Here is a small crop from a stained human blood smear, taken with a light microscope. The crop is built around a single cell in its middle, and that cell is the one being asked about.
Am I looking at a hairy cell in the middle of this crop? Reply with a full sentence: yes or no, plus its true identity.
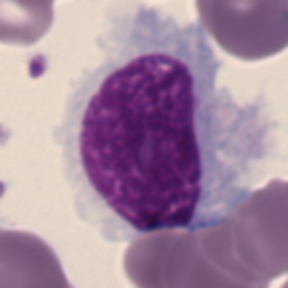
Yes, that is right: the middle cell is a hairy cell.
